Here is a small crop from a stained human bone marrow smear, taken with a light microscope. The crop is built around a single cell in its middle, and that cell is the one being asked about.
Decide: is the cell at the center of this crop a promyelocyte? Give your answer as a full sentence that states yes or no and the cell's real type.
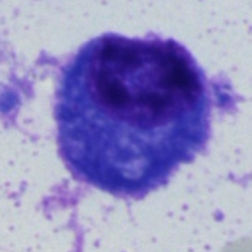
No, that guess of a promyelocyte misses; the central cell is a plasma cell.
